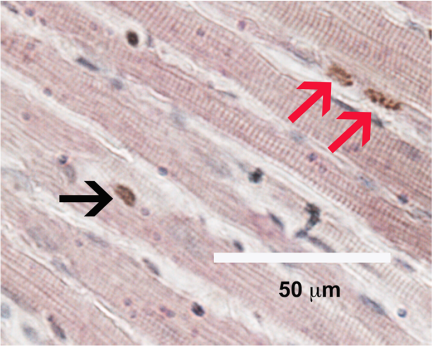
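Long parallel fibers of heart muscle run diagonally across the field, pale pink with fine, regular cross-striations. Oval blue nuclei lie within and between the fibers. A few nuclei are stained brown: one sits inside a striated fiber, and two small brown nuclei with a clumped look lie together at the edge of a fiber. The striated fibers are cardiomyocytes, and the brown nuclei mark stained cells among them.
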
